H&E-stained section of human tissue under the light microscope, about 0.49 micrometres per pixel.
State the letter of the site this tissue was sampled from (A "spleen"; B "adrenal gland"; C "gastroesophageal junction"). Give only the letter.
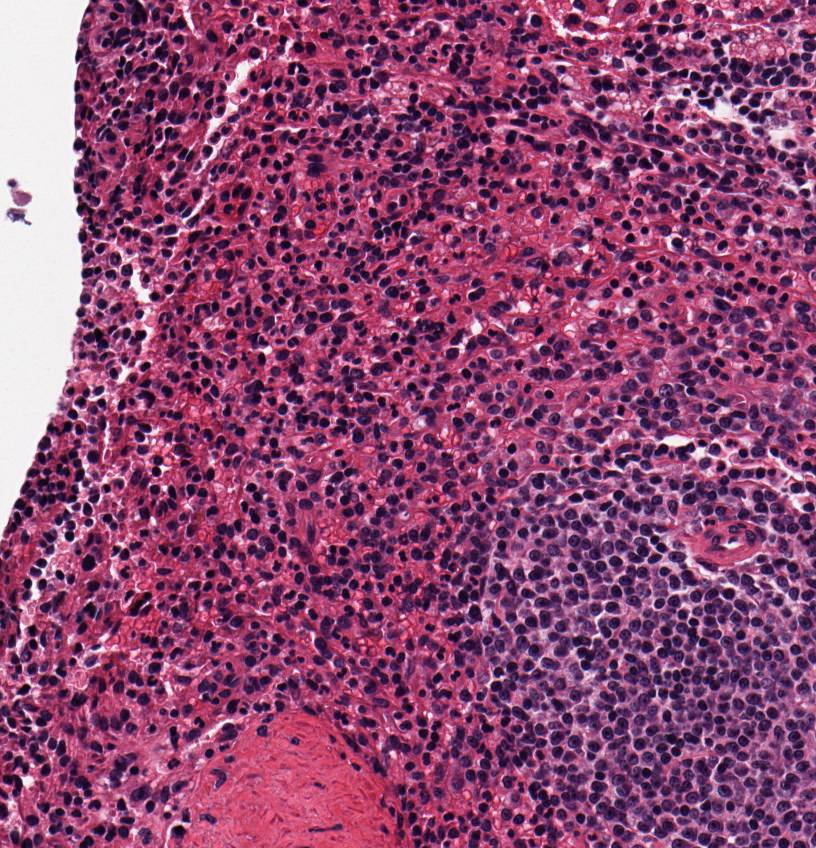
A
